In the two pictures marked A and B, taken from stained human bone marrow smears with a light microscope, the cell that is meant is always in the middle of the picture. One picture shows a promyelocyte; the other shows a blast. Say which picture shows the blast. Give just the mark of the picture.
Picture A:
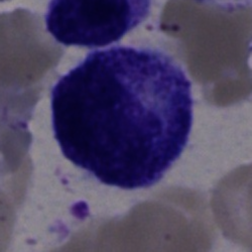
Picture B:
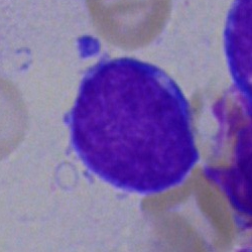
B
